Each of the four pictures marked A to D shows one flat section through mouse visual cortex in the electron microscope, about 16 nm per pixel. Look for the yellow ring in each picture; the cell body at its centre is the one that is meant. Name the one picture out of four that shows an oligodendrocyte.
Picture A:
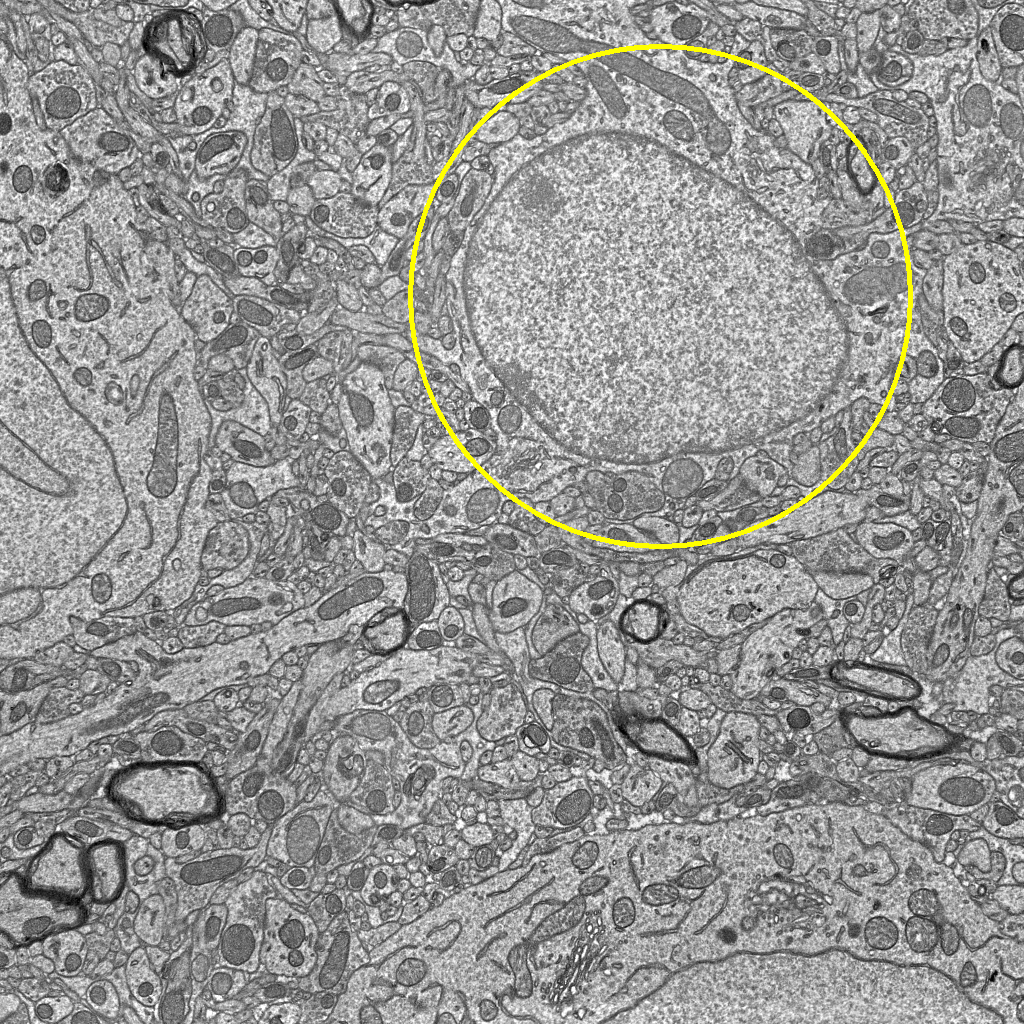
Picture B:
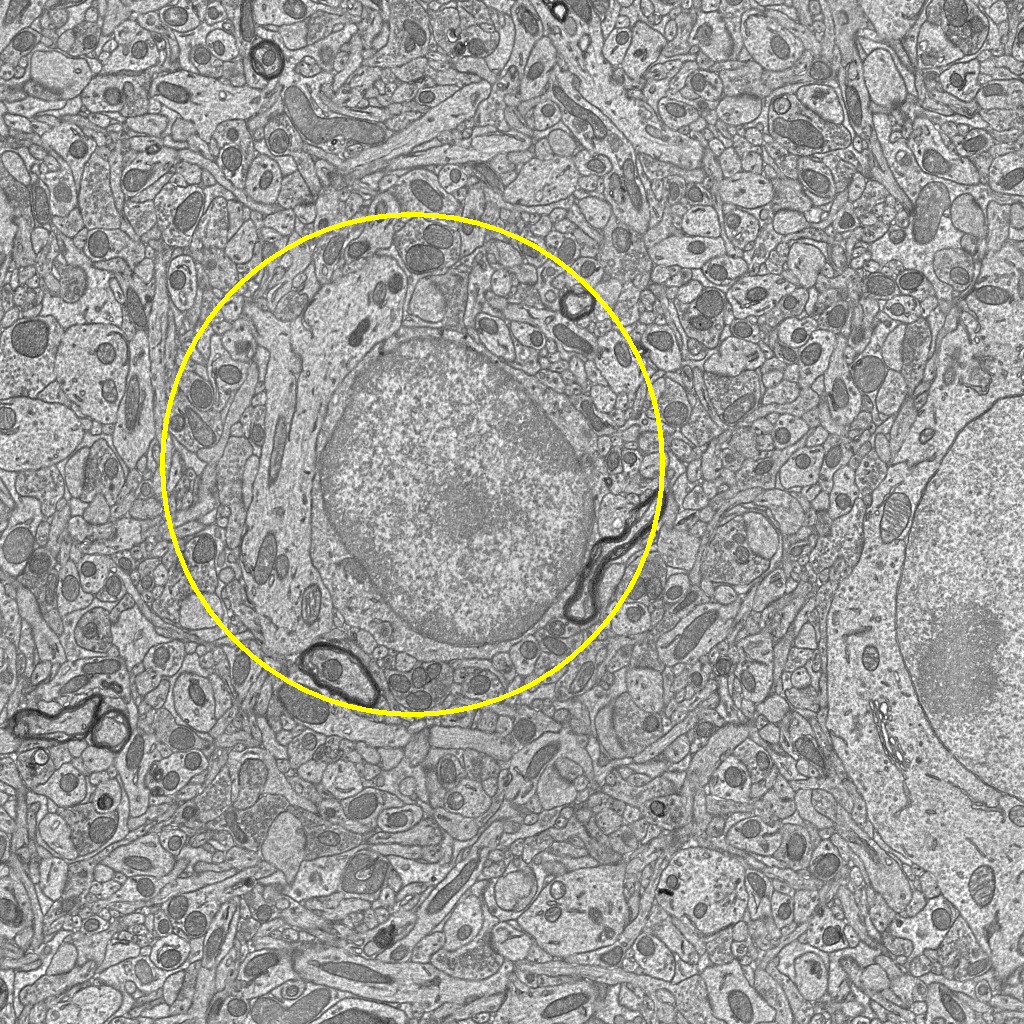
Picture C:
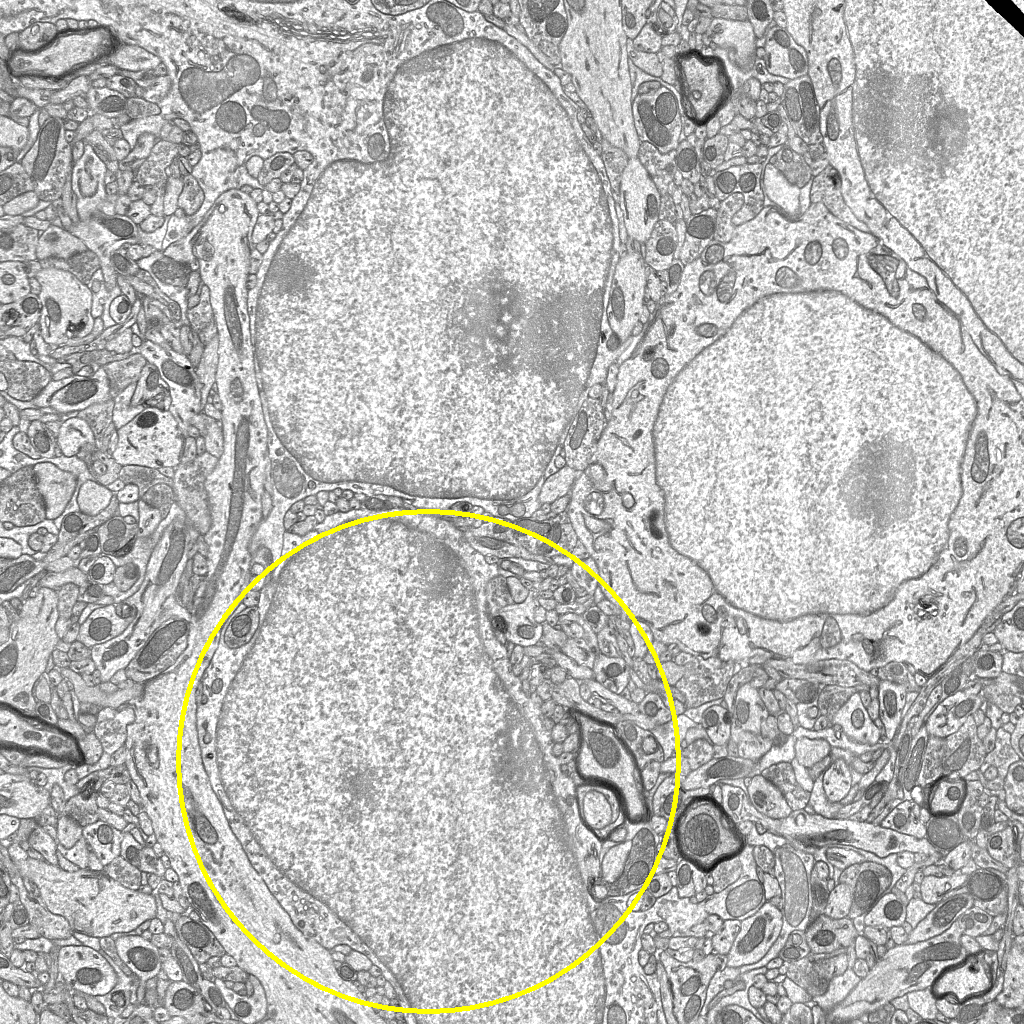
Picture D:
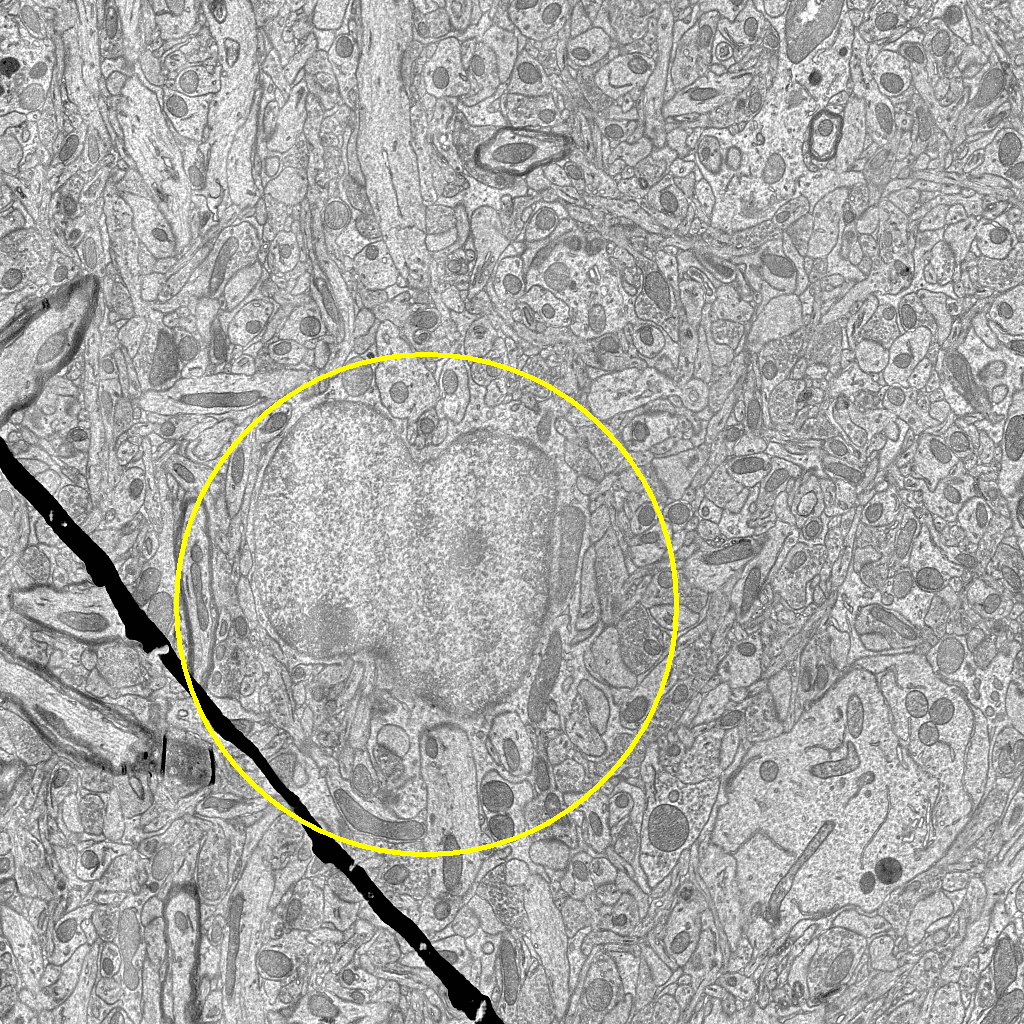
It is picture B that shows the oligodendrocyte.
